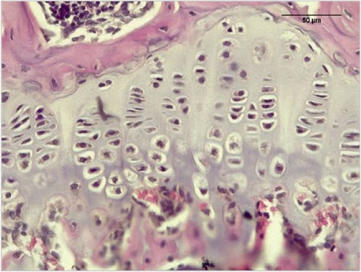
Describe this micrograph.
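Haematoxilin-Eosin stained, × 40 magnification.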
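Growth plate cartilage of a long bone in which chondrocytes are arranged in regular longitudinal columns. Near the top, cells are small and flattened, stacked one on another like coins within a pale lilac matrix. Lower down, the cells in each column become larger and rounder with clear cytoplasm, forming an enlarging zone. Purple nuclei are visible in many lacunae. Columns are separated by bands of matrix and run roughly parallel. At the bottom edge, pink bone trabeculae and spaces containing marrow cells border the cartilage, and pink bone also lies above the cartilage at the top.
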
